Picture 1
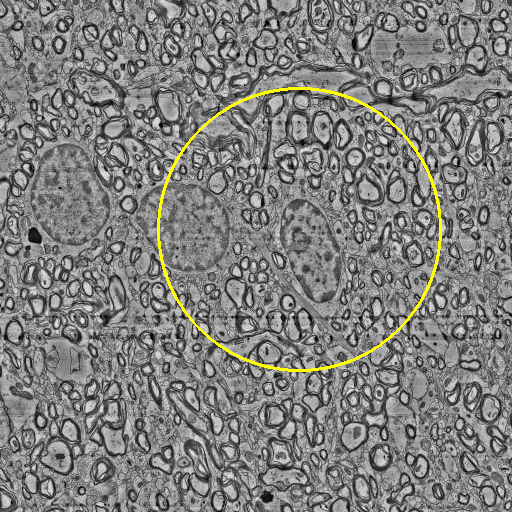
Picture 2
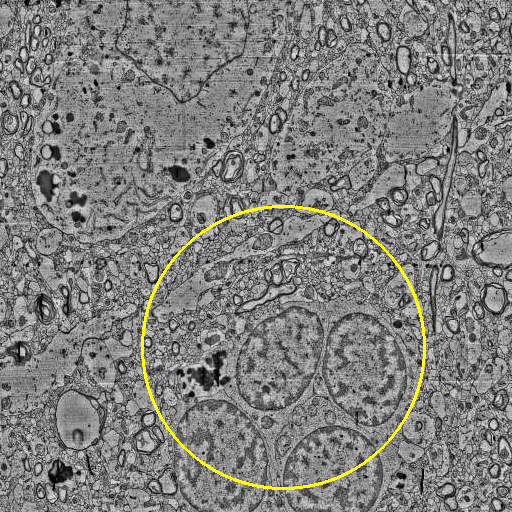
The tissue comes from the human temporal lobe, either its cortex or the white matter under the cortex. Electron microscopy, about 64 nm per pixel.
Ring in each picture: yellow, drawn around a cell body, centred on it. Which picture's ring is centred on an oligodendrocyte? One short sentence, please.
Picture 2 is the one.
